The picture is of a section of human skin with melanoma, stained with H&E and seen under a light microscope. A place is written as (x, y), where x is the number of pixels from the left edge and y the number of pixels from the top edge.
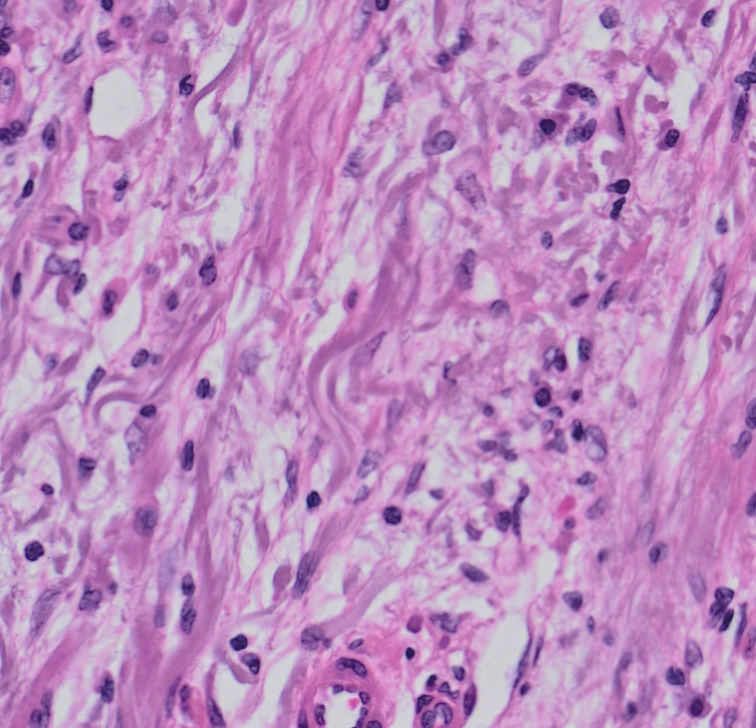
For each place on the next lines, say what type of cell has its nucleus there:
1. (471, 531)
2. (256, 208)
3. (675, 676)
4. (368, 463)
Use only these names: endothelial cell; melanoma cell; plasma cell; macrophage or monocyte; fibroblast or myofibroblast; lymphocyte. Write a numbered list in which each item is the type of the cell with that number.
1. fibroblast or myofibroblast
2. fibroblast or myofibroblast
3. lymphocyte
4. fibroblast or myofibroblast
